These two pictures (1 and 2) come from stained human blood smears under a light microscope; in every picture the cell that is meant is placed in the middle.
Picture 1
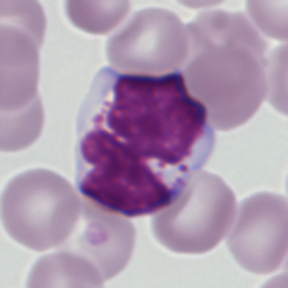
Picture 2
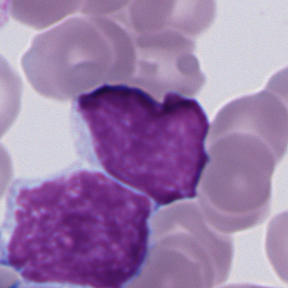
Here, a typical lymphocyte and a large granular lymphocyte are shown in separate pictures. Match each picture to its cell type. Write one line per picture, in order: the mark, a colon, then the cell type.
1: large granular lymphocyte
2: typical lymphocyte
